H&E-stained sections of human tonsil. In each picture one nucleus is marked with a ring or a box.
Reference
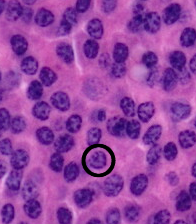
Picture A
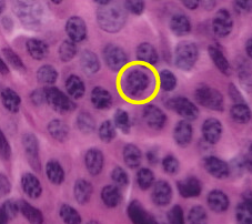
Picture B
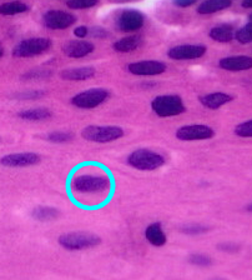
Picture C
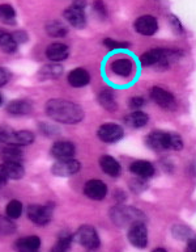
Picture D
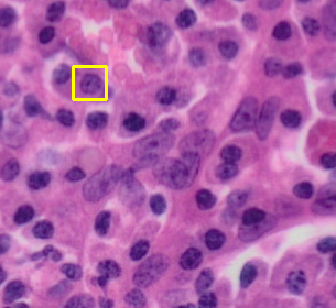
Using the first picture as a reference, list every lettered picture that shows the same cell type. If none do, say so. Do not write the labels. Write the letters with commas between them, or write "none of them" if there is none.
A, C, D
